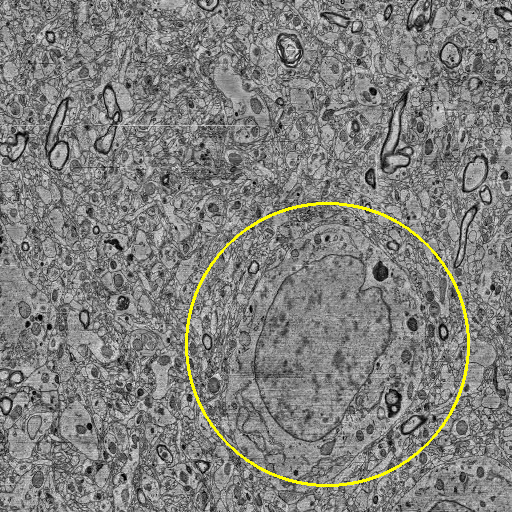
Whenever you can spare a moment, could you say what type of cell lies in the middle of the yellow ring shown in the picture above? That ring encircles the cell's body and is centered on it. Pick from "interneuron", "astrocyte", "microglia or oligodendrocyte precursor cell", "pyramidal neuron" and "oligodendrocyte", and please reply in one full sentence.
The cell whose body sits at the middle of the yellow ring is a pyramidal neuron.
